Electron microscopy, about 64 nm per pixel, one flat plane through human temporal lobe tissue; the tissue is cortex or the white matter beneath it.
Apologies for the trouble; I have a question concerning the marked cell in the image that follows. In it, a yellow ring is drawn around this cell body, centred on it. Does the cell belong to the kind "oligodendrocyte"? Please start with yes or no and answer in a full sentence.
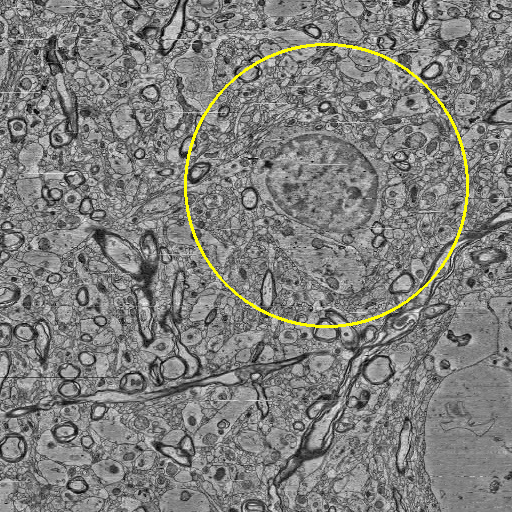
Yes, the cell at the centre of the ring in the picture is of that kind.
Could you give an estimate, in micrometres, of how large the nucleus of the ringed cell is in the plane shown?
About 7 by 6 micrometers, in this plane.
